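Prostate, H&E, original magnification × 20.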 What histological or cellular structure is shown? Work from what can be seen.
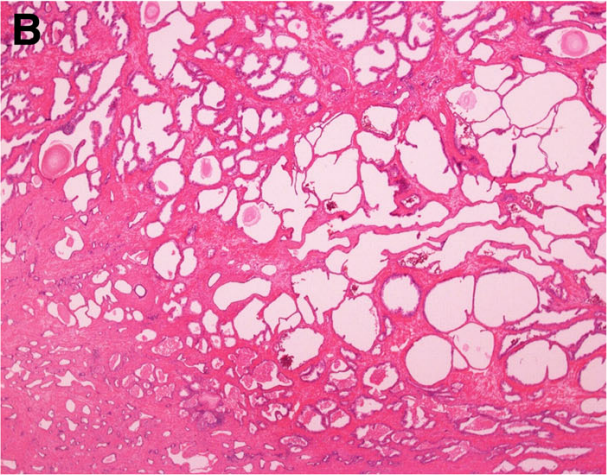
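Cystic dilated glandular structures. Numerous rounded and angular spaces of varying size fill the field. The spaces are separated by thin pink septa of stroma. Some spaces contain pale pink material.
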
